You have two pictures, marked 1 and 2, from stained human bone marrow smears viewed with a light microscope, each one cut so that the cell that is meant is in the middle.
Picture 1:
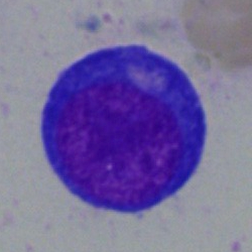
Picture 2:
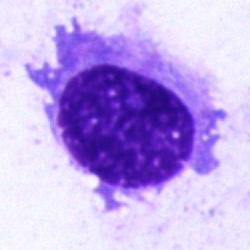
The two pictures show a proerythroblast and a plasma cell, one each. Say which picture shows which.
1: proerythroblast
2: plasma cell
